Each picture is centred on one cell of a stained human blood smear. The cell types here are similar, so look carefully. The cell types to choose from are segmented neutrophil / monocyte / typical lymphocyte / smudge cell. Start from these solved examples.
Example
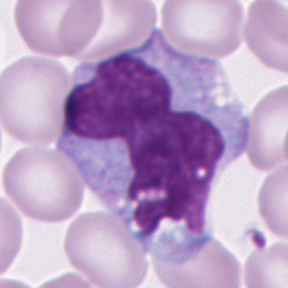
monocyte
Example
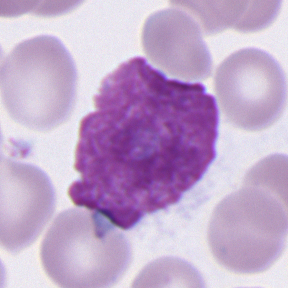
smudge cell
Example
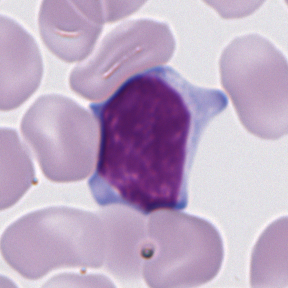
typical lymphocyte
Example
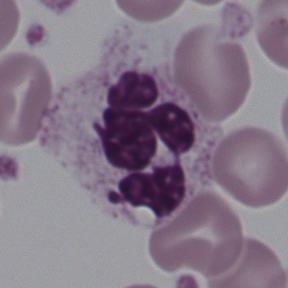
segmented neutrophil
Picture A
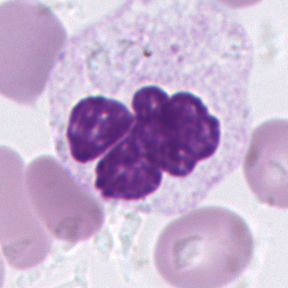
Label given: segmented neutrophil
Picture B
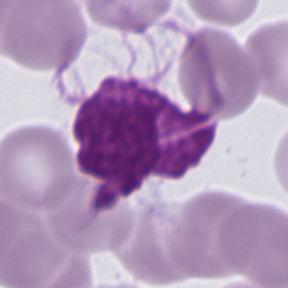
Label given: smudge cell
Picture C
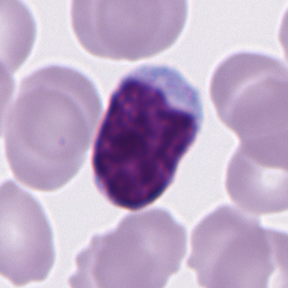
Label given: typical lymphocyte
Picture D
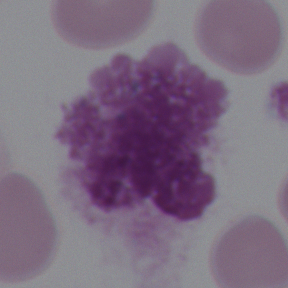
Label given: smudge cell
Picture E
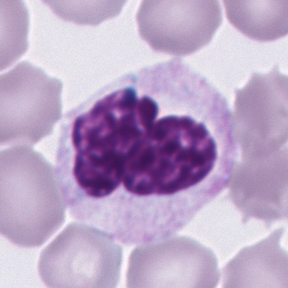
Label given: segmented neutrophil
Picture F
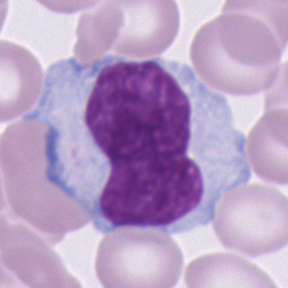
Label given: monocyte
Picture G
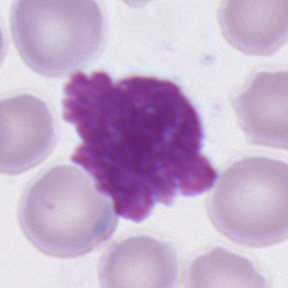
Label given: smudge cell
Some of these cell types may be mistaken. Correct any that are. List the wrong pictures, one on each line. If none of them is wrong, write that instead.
All correct.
